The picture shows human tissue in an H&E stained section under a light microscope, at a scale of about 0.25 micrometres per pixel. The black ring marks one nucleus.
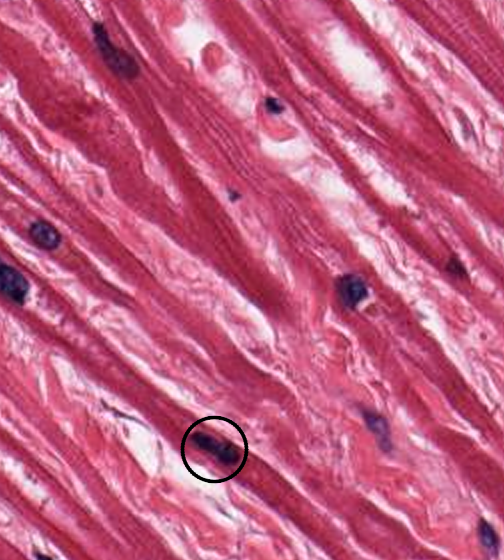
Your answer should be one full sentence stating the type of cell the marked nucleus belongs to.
The nucleus marked in this picture belongs to a cardiomyocyte.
